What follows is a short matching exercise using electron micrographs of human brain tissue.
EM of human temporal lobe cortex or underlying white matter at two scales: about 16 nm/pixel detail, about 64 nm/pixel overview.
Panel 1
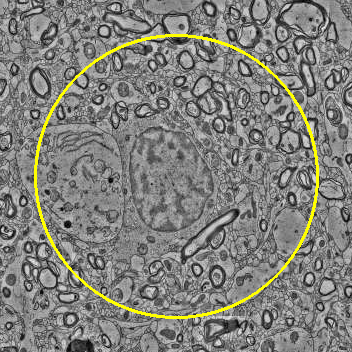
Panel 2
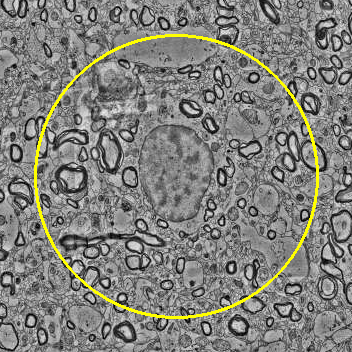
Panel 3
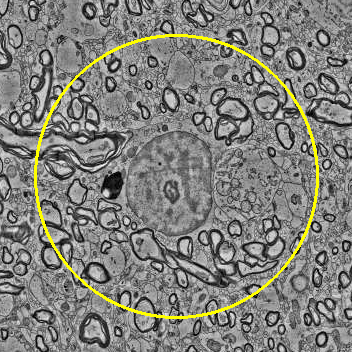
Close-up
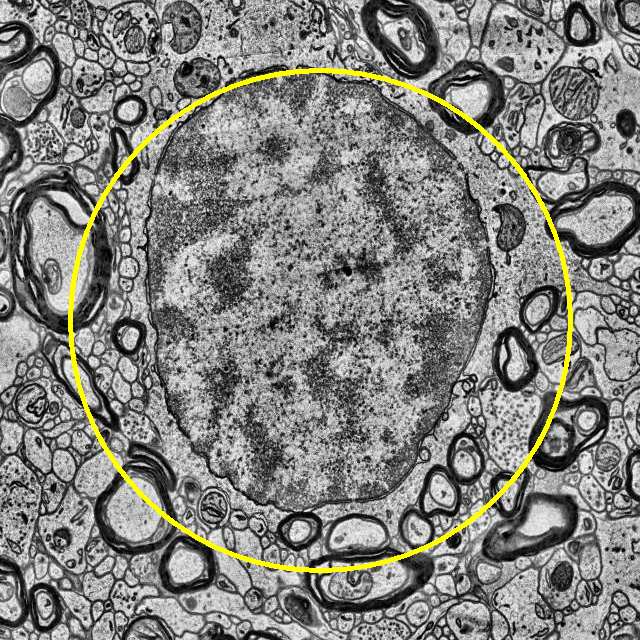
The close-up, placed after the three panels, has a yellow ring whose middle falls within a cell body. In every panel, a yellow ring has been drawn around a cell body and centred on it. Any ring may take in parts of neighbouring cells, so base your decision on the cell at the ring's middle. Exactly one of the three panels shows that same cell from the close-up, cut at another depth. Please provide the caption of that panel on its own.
Panel 2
